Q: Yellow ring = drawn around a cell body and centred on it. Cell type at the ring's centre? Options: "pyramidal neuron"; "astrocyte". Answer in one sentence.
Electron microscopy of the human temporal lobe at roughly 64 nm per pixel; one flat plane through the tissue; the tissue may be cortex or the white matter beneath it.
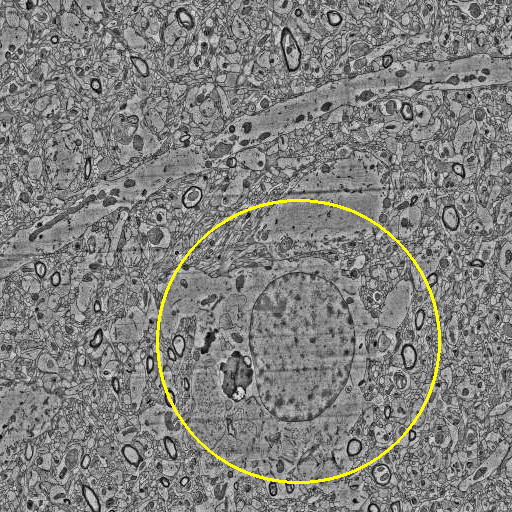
Centred in the ring is an astrocyte.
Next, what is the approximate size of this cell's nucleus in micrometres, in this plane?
The nucleus has a long axis of about 10 micrometres and a short axis of about 7 micrometres in this plane.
